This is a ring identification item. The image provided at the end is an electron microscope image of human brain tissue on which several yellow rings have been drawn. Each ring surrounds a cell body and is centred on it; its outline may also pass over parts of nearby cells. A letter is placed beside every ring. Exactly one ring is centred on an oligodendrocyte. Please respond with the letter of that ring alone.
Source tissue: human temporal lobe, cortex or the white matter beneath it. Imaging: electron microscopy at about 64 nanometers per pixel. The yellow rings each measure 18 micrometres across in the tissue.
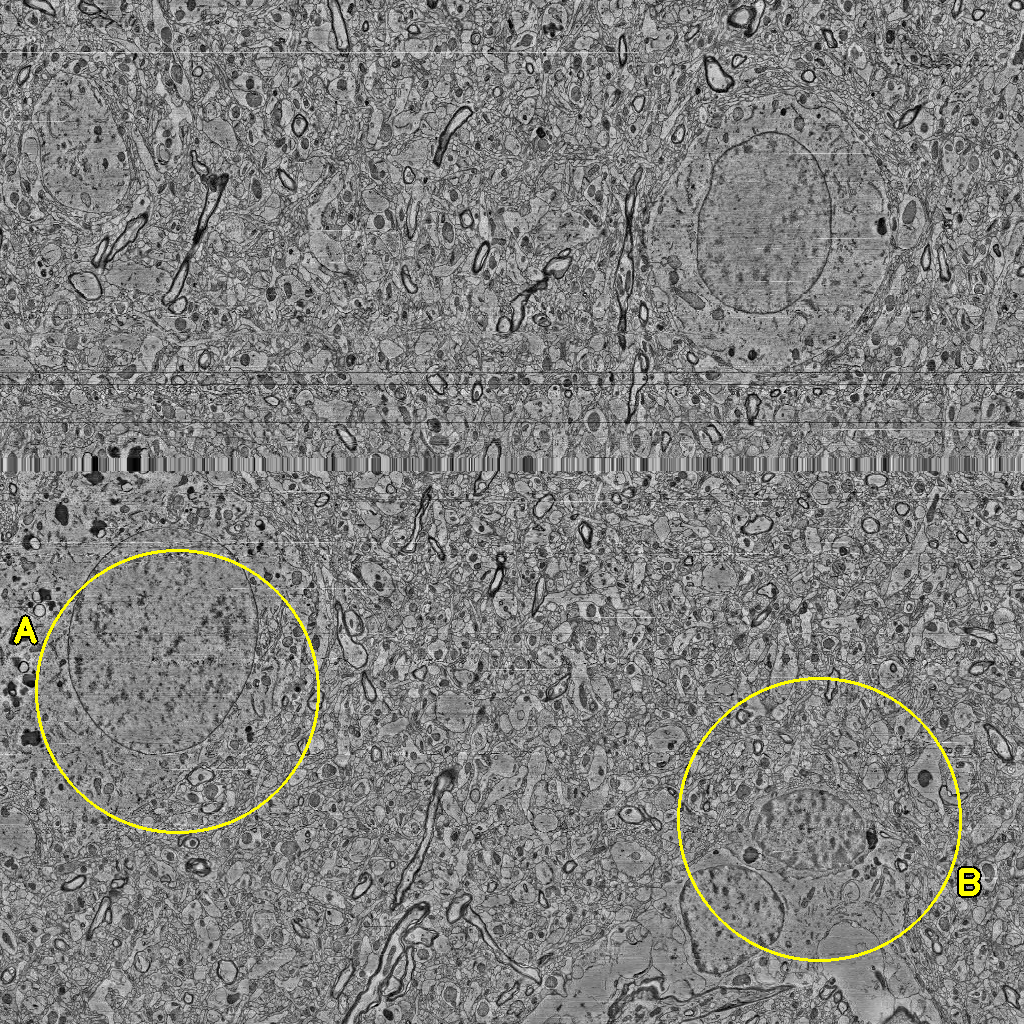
B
